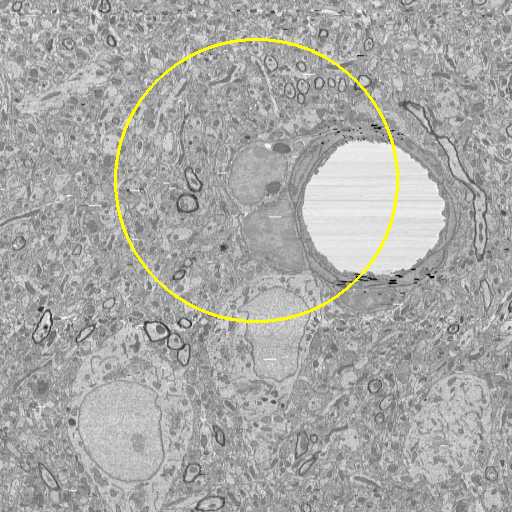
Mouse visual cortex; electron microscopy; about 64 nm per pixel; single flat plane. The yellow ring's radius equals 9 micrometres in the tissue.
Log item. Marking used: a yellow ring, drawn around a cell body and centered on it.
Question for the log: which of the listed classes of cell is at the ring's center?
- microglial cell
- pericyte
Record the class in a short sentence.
At the center of the ring lies a microglial cell.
